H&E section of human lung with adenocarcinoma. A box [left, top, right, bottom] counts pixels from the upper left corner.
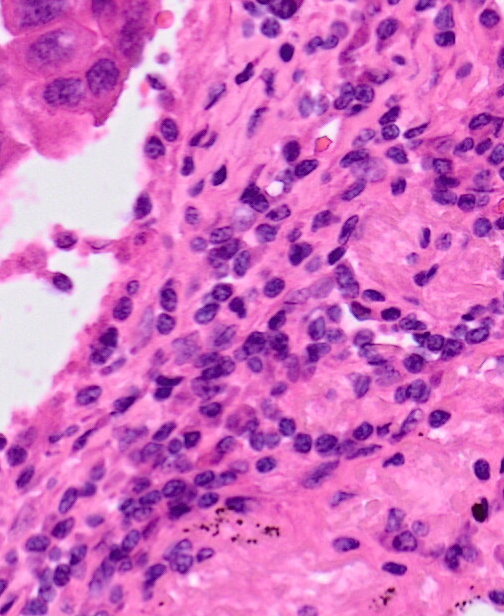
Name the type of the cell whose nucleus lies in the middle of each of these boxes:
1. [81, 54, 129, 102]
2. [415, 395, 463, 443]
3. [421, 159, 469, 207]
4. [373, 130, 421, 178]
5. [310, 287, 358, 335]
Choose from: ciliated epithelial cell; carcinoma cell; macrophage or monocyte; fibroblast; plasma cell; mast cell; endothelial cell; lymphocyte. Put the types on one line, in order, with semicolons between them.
carcinoma cell; lymphocyte; plasma cell; lymphocyte; lymphocyte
